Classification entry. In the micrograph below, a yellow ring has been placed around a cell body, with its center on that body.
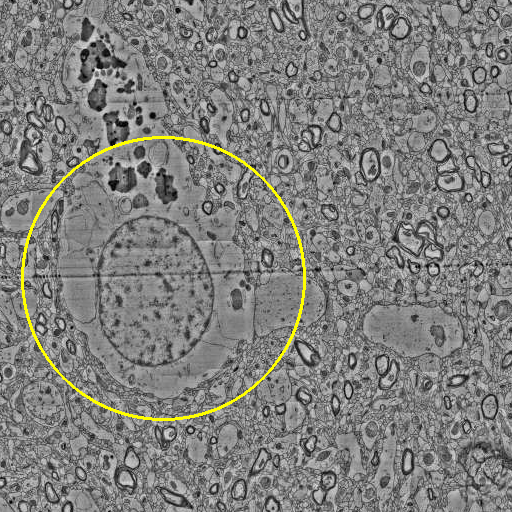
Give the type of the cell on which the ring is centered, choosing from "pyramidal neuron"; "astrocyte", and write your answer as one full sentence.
The cell body at the center of the yellow ring belongs to an astrocyte.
